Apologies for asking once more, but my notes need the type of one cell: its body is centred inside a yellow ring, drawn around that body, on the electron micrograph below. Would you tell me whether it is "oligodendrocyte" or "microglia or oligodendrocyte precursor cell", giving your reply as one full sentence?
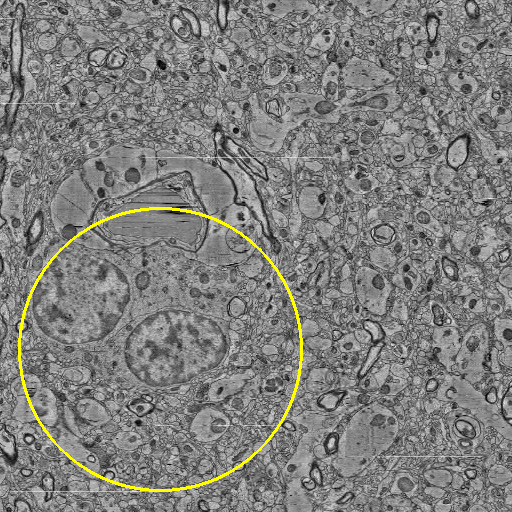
The cell that the yellow ring is centred on is an oligodendrocyte in this micrograph.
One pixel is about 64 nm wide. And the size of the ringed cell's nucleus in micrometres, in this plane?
In this plane, roughly 6 by 5 micrometres.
